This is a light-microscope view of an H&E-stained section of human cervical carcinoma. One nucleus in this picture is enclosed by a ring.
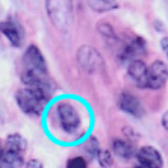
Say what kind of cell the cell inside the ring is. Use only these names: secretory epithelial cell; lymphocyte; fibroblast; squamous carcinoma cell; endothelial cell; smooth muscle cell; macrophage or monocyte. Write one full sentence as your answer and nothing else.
For cell typing purposes, the cell inside the ring is a lymphocyte.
